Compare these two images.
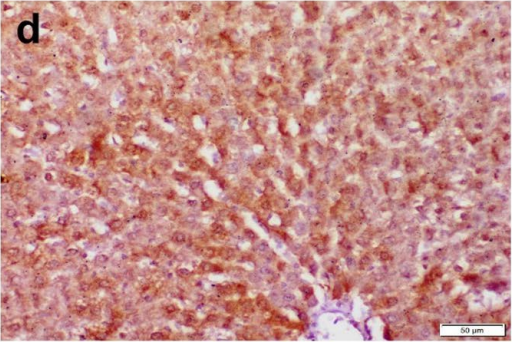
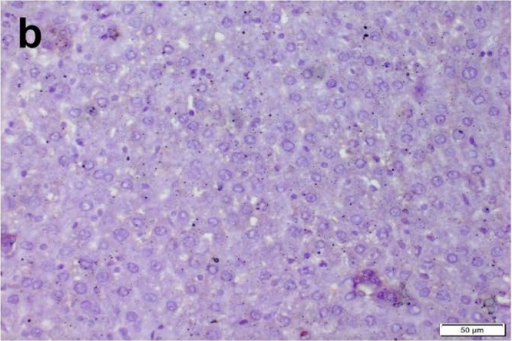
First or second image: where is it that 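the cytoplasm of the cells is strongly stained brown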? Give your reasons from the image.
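Second image: the cells are pale purple with hardly any brown colour. First image: brown colour fills the cytoplasm across nearly the whole field.
Conclusion: the first image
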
